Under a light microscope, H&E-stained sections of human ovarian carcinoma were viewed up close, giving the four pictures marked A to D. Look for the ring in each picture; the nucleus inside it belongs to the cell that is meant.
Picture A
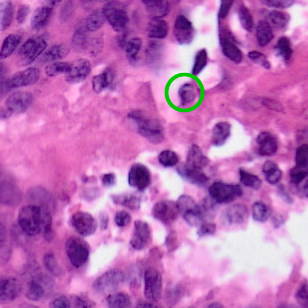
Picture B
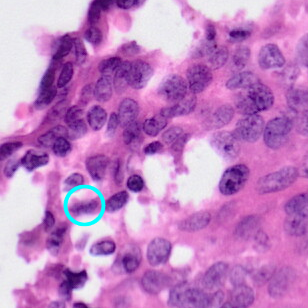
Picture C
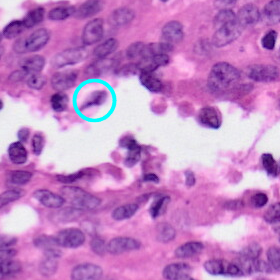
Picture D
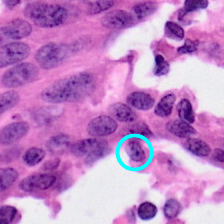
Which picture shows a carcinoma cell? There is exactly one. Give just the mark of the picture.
B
